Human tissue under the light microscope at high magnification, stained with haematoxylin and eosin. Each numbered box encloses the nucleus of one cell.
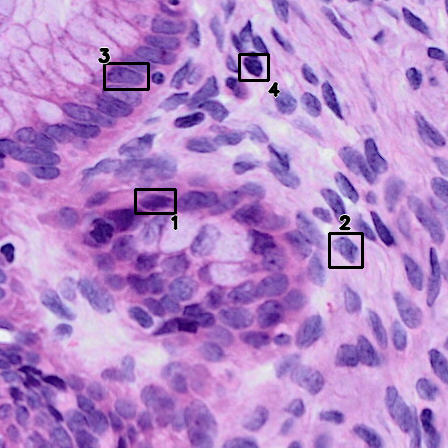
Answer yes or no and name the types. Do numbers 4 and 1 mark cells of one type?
No, in this section cell 4 is a lymphocyte and cell 1 is a secretory epithelial cell.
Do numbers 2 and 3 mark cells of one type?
No; whereas cell 2 is a fibroblast, cell 3 is a secretory epithelial cell.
